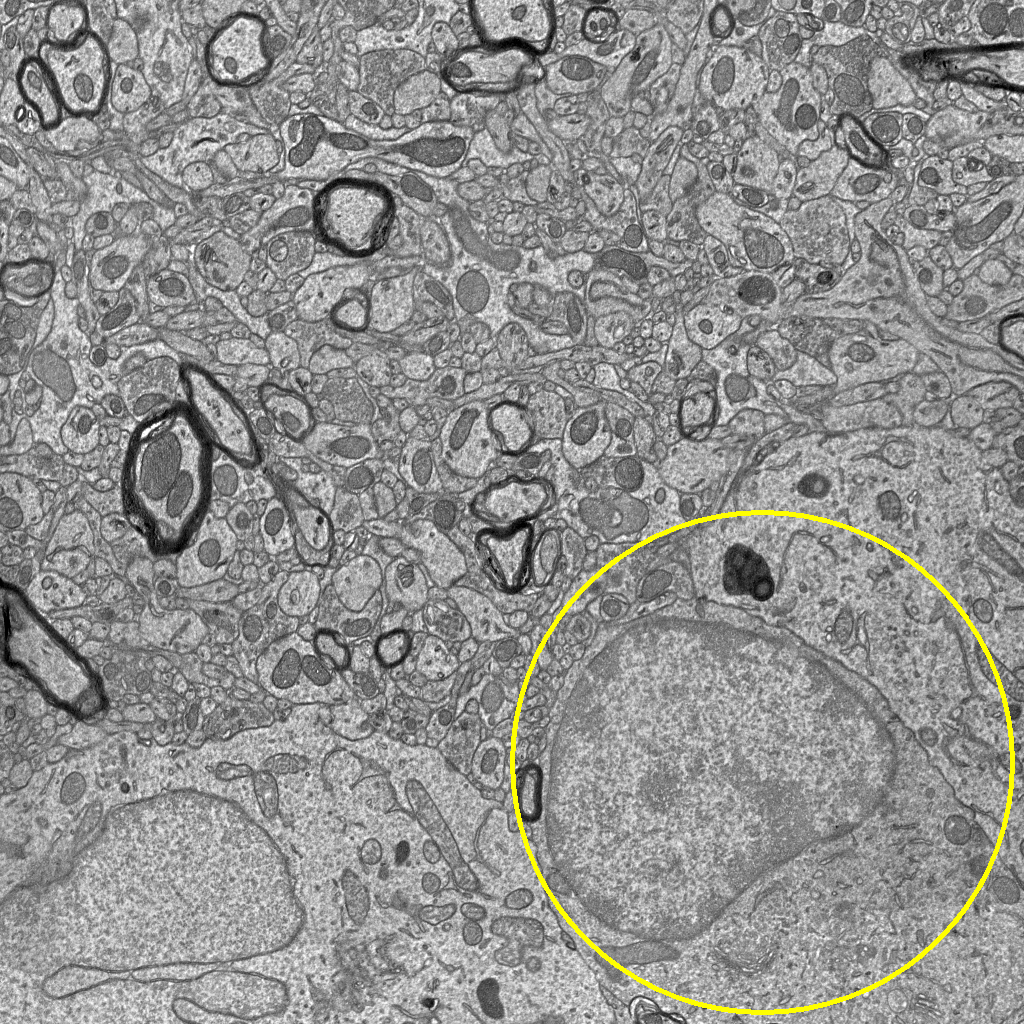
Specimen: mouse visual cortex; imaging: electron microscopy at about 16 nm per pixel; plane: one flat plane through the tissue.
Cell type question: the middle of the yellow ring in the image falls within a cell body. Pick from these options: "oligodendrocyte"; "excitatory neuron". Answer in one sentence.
The cell body at the center of the ring belongs to an oligodendrocyte.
